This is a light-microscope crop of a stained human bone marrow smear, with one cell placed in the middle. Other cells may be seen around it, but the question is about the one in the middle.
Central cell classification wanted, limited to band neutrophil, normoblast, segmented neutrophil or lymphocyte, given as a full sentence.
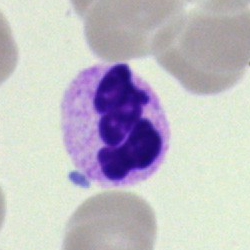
In the middle of this smear crop is a segmented neutrophil.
